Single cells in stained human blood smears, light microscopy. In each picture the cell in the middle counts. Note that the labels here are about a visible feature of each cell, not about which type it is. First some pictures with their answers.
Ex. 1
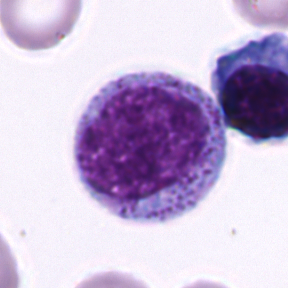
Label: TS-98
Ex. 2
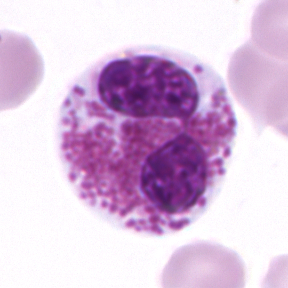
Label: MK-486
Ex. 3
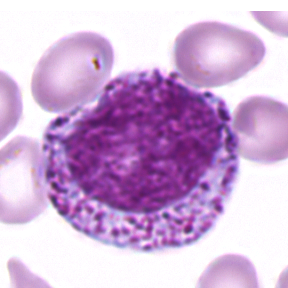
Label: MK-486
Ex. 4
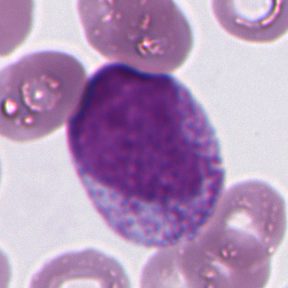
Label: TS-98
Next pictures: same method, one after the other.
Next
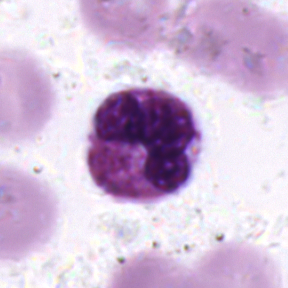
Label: TS-98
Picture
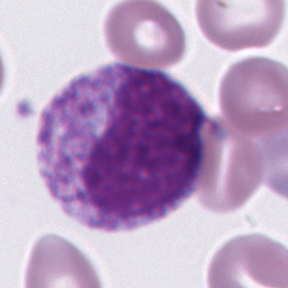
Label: MK-486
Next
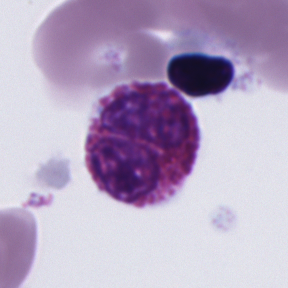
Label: TS-98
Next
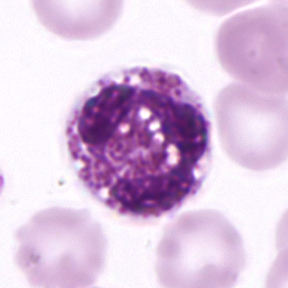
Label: TS-98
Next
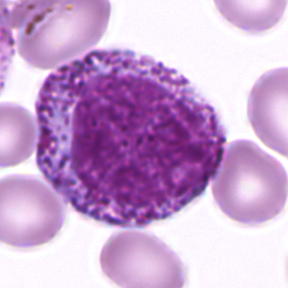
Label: MK-486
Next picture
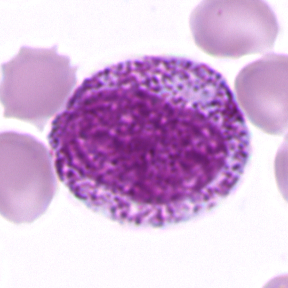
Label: MK-486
